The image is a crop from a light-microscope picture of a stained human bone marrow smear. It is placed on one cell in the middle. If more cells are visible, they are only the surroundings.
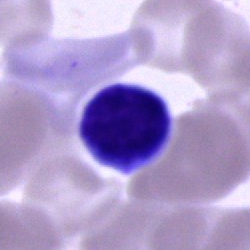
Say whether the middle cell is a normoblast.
no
